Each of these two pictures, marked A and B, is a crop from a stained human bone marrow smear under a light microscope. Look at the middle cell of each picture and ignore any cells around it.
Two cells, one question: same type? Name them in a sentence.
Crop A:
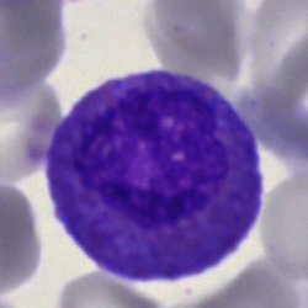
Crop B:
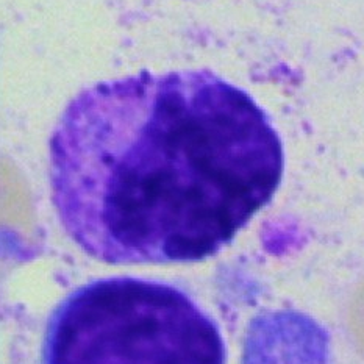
No, the cell in crop A is an eosinophil, and the cell in crop B is a basophil.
